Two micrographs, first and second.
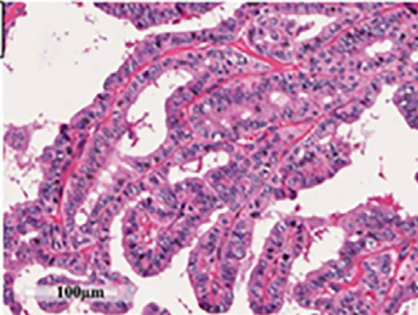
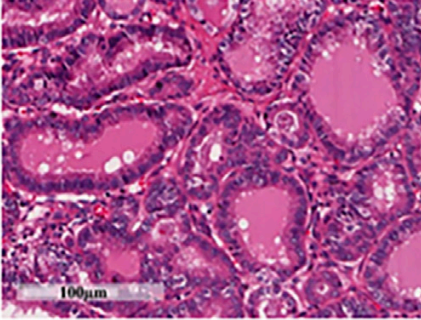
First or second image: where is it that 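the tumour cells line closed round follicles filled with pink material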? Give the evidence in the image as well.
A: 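Second image: round closed spaces lined by epithelium and filled with pink material. First image: branching fronds with stalks projecting into empty spaces, no closed follicles. On this evidence: the second image.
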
